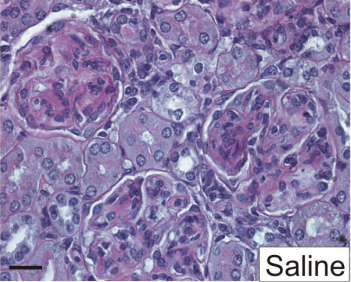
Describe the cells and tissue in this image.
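This is kidney cortex with several glomeruli packed close together, each a rounded tuft of capillary loops held within a thin capsule. The tufts look large and crowded with nuclei, and the magenta-staining material within them is abundant, so the capillary loops are hard to tell apart and look thickened. The space between tuft and capsule is narrow. Around the glomeruli lie tubules lined by cuboidal cells with round dark nuclei and pale pink cytoplasm. Compared with a normal glomerulus, these tufts look more cellular and more filled with magenta matrix.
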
